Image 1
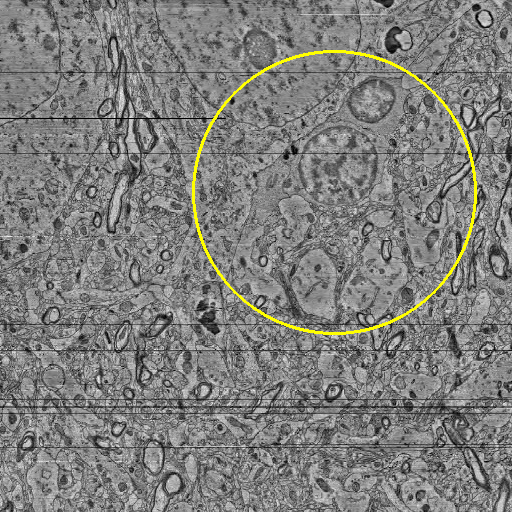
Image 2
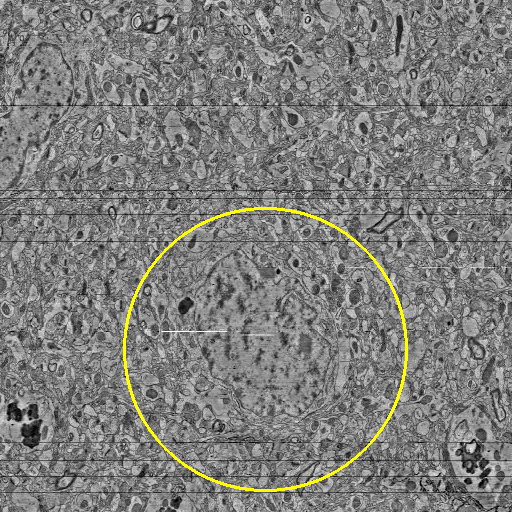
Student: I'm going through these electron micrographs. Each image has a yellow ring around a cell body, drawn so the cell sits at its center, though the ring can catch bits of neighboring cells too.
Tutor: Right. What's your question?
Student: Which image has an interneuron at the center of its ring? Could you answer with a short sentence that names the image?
Image 2 shows it at the center of its ring.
